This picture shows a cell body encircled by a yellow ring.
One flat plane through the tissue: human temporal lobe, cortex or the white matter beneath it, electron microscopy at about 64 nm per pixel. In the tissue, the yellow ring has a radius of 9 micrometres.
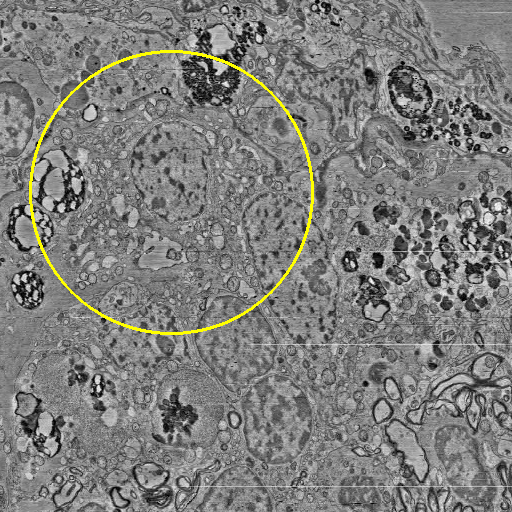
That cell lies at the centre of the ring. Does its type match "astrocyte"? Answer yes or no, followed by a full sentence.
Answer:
Yes, in the picture, the ring surrounds a cell of that type at its centre.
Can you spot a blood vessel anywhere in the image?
Yes, one shows.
